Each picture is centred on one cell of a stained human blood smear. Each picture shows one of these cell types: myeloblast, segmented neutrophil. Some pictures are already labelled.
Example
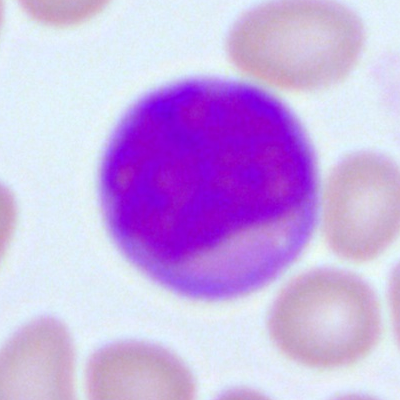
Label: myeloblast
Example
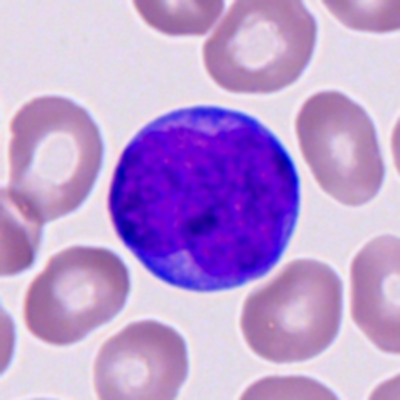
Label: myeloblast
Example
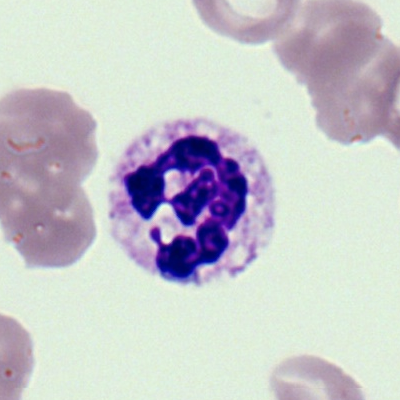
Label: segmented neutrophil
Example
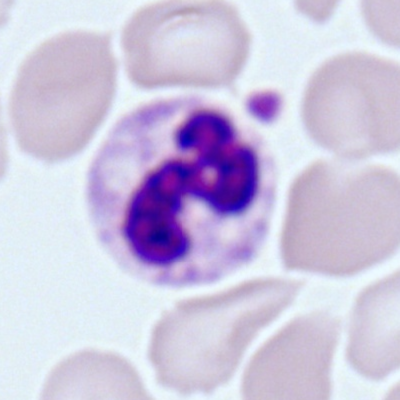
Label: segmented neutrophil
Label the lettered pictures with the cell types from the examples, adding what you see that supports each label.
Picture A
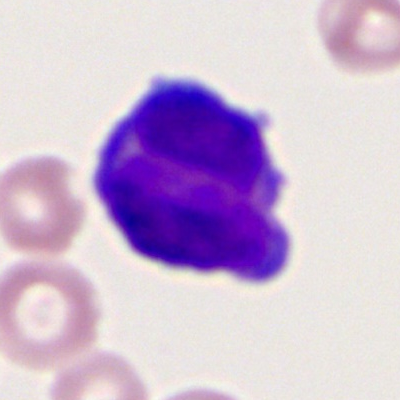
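Label: myeloblast. The cytoplasm is scant and forms only a thin deep-blue rim around the nucleus.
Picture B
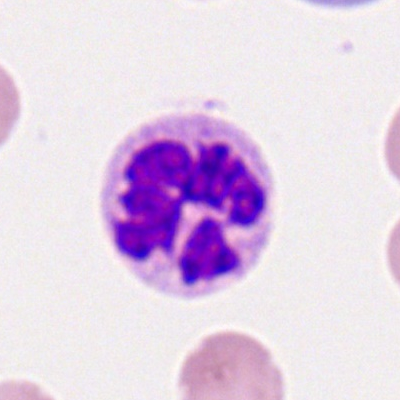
Label: segmented neutrophil. The nucleus is divided into several separate lobes.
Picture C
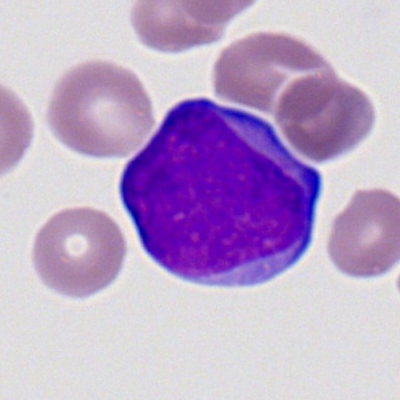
Label: myeloblast. The nucleus is a single unlobed mass that fills most of the cell.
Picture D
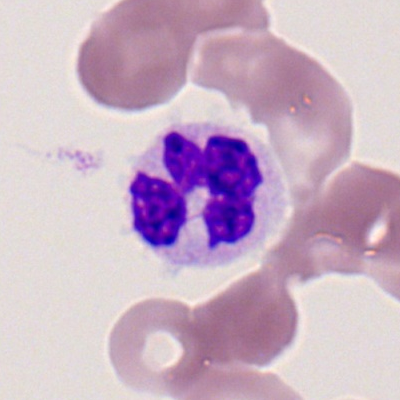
Label: segmented neutrophil. The nucleus is divided into four separate lobes.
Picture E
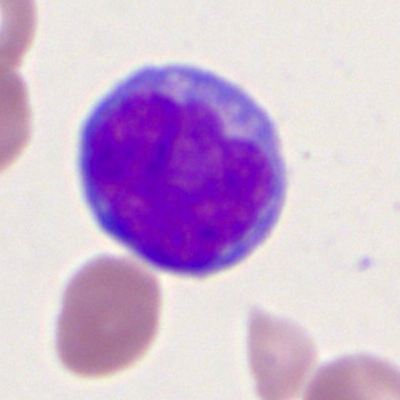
Label: myeloblast. The cytoplasm stains blue.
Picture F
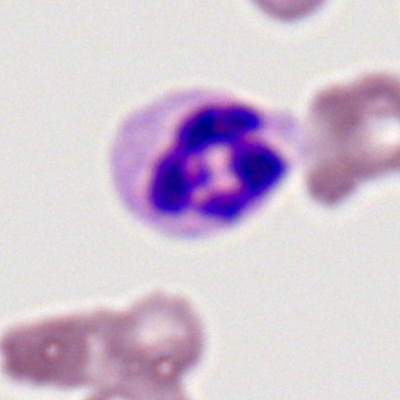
Label: segmented neutrophil. The nucleus is divided into several lobes arranged roughly in a ring.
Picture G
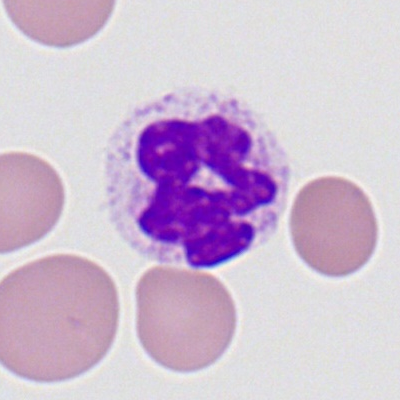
Label: segmented neutrophil. The nucleus is divided into several lobes joined together.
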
